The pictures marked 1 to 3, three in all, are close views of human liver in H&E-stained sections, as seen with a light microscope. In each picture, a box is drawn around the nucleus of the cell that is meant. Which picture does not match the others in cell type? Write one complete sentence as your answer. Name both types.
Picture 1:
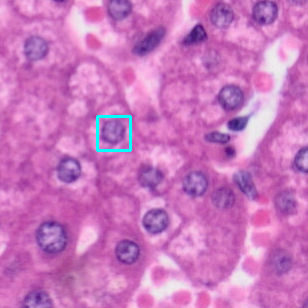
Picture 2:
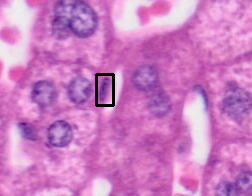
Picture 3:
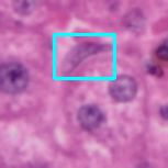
The others show Kupffer cells, but picture 1 shows a hepatocyte.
